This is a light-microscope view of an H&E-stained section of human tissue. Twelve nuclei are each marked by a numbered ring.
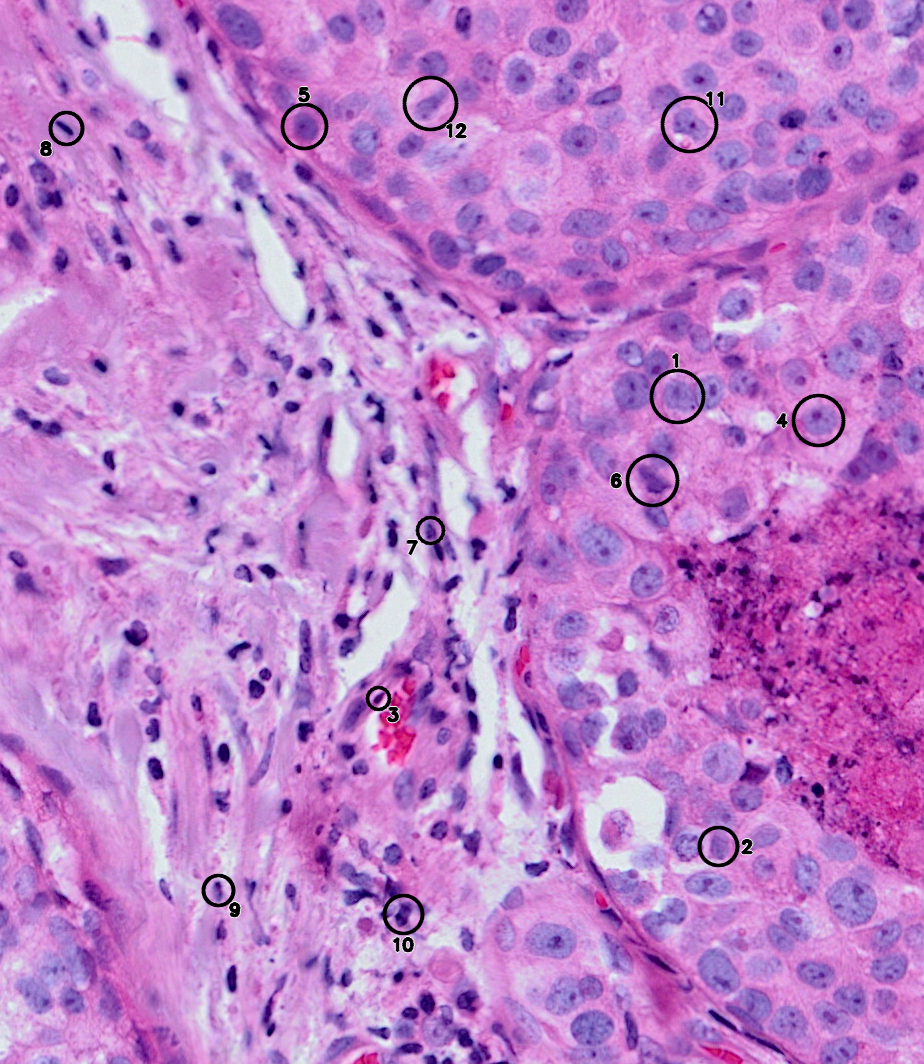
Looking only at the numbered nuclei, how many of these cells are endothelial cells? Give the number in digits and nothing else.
1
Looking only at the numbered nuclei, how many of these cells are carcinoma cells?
7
